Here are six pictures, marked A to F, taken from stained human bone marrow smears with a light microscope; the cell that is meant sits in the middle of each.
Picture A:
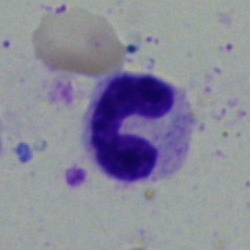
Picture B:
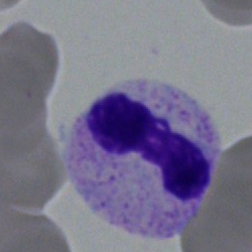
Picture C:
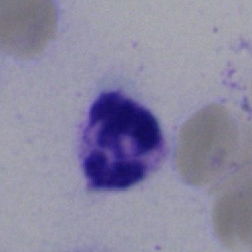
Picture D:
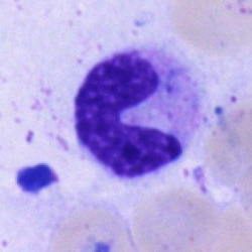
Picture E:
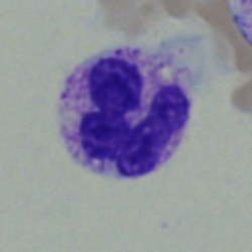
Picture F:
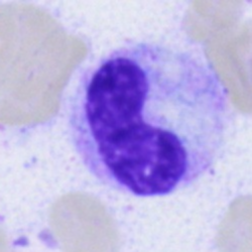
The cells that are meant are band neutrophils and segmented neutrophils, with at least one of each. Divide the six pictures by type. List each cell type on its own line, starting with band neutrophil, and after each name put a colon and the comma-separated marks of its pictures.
band neutrophil: A, B, D, F
segmented neutrophil: C, E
